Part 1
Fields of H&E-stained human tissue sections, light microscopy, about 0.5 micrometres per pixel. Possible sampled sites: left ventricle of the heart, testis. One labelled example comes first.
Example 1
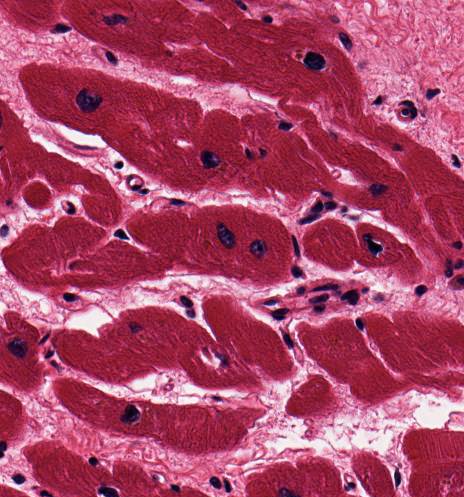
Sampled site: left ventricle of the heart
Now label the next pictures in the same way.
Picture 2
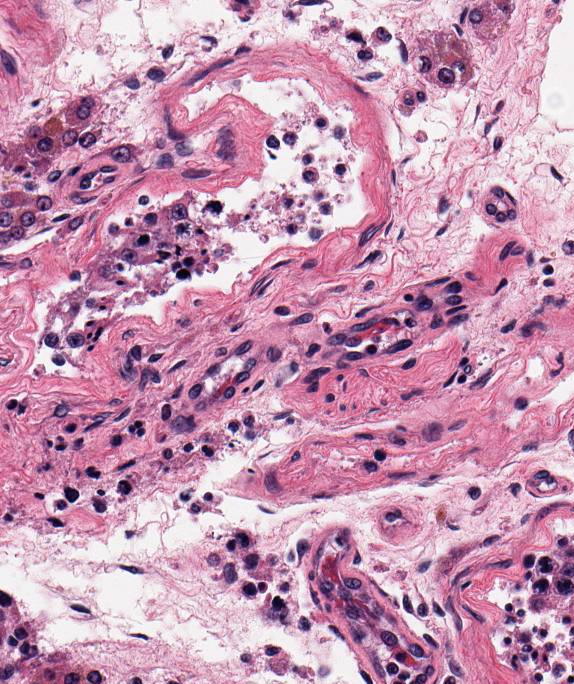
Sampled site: testis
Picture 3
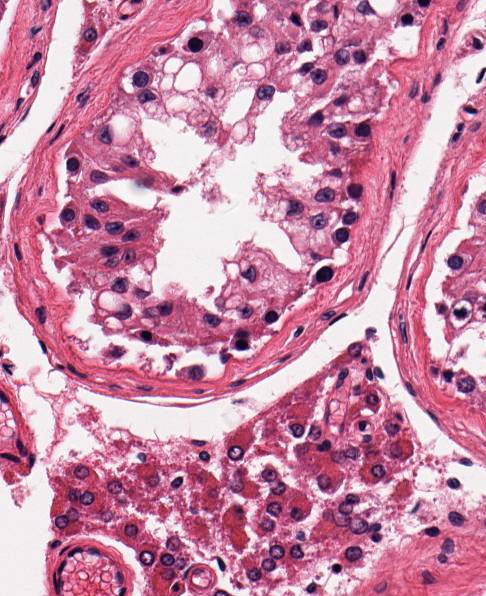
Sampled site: testis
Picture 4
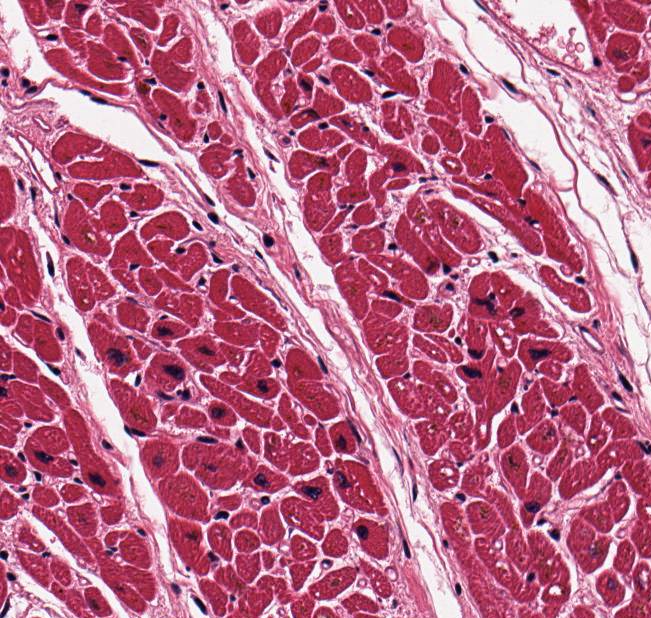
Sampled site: left ventricle of the heart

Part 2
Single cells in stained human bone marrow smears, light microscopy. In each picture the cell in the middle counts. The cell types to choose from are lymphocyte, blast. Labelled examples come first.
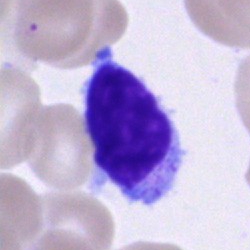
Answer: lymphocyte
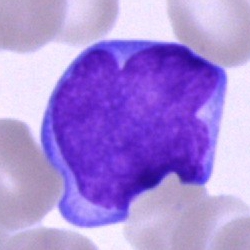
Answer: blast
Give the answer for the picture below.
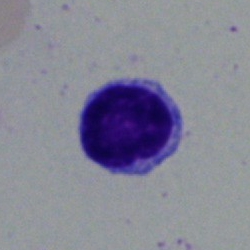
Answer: lymphocyte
